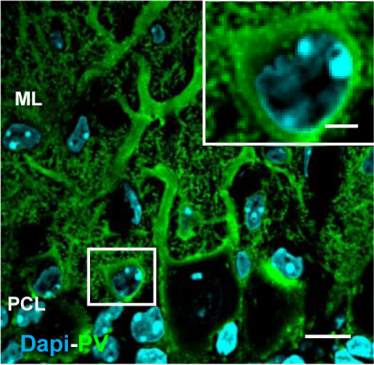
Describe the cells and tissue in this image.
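Cerebellar cortex with large neuronal bodies lined up at the bottom and their thick dendrites rising and branching upward through the overlying layer. Small round cyan nuclei of interneurons are scattered in the upper layer among a fine green meshwork. The inset shows a small cell body with a round nucleus surrounded by a thin green cytoplasmic rim.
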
